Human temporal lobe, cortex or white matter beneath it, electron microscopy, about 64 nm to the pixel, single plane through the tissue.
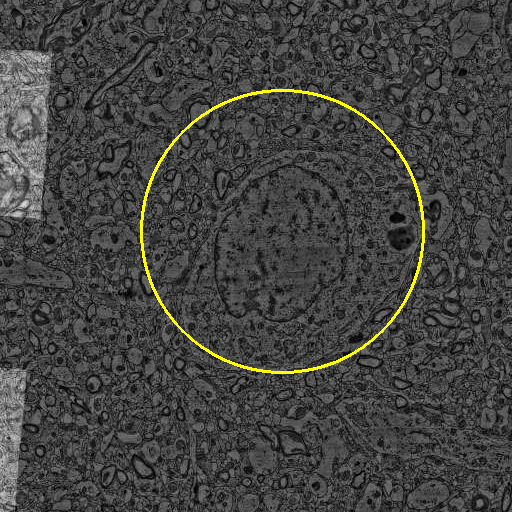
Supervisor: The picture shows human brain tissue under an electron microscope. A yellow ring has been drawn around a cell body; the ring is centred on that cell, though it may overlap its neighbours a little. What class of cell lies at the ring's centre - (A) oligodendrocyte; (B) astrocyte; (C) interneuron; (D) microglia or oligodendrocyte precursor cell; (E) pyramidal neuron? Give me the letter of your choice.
C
